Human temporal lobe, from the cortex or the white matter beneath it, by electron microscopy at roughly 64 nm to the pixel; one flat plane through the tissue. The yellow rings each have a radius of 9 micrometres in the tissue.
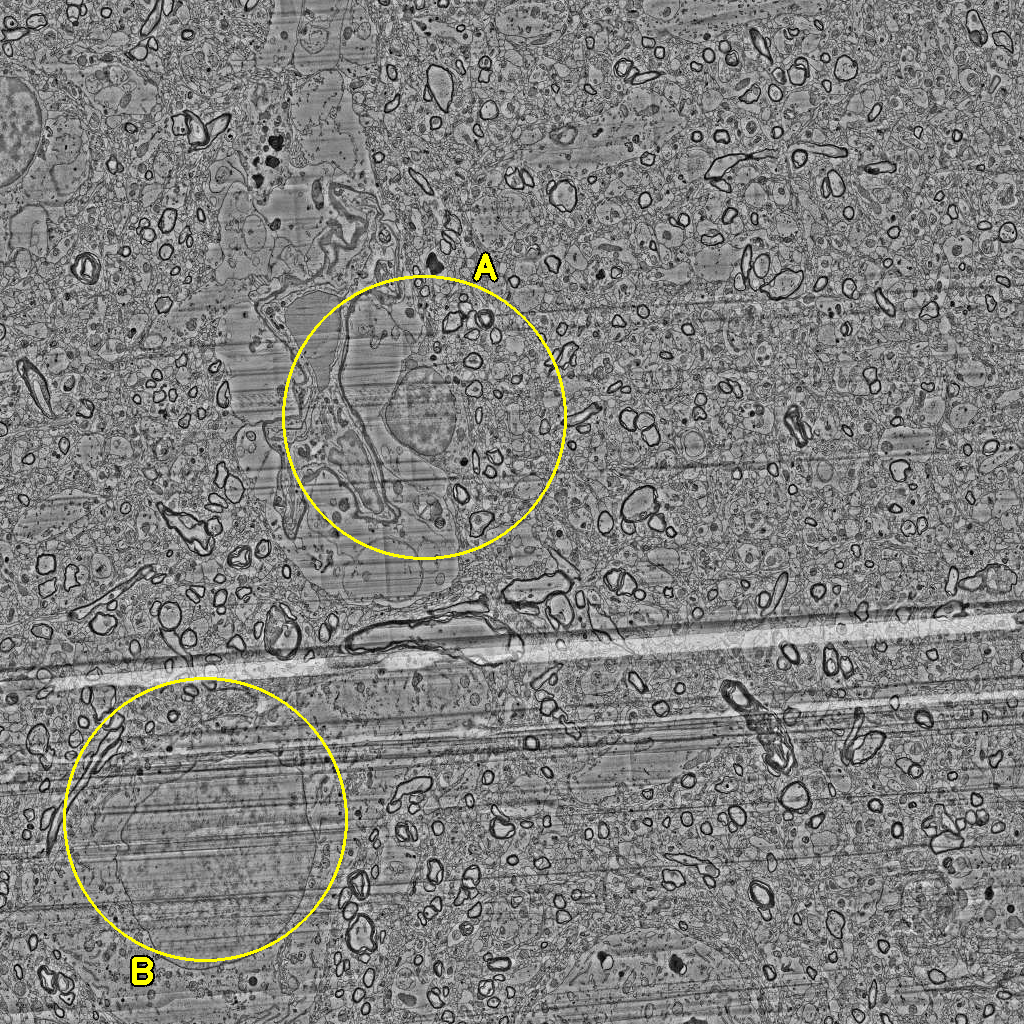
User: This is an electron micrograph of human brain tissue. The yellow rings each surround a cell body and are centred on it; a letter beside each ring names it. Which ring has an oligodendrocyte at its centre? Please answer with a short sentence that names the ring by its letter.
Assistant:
Ring A has it at its centre.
